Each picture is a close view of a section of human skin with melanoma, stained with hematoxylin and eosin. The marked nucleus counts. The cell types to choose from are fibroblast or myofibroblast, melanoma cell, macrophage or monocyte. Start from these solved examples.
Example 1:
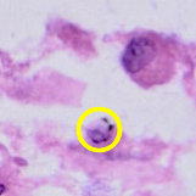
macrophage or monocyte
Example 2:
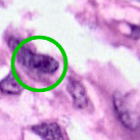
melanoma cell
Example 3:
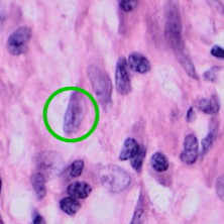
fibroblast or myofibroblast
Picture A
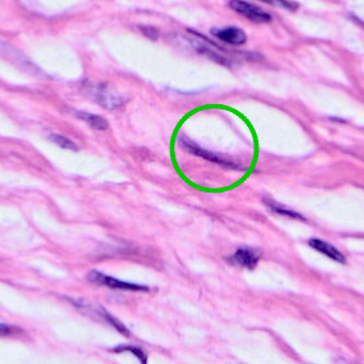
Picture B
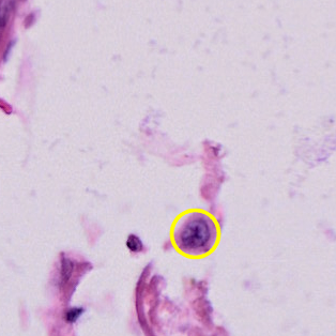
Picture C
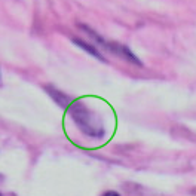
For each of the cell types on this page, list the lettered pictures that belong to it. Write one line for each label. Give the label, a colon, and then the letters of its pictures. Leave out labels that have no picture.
fibroblast or myofibroblast: A, C
melanoma cell: B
